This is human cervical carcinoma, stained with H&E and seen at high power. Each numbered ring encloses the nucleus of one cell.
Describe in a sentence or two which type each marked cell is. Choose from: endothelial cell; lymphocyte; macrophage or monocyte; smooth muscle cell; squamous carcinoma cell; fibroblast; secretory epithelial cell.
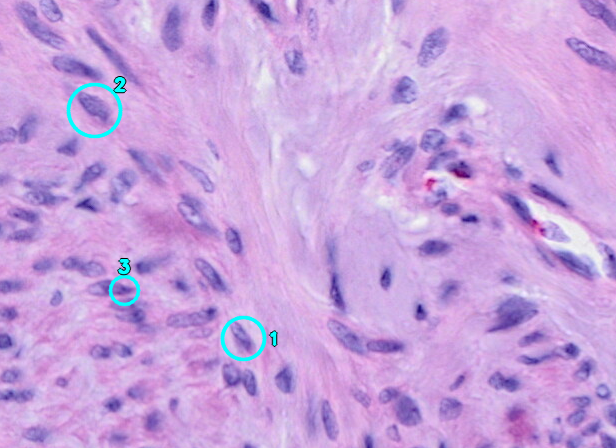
Cell 1 is a smooth muscle cell, cell 2 is a fibroblast and cell 3 is a smooth muscle cell.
